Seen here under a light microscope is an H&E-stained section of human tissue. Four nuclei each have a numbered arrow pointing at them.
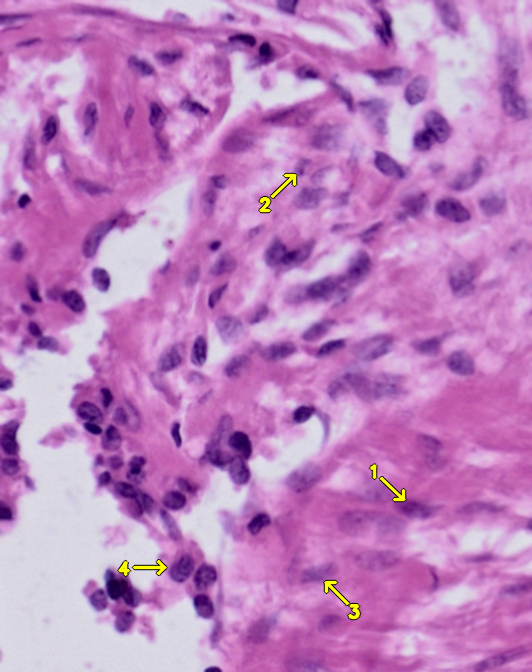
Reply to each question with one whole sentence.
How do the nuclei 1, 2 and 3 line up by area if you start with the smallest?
By area, going up from the smallest, they rank 2, 3, 1.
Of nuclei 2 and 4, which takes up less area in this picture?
It is nucleus 2; nucleus 4 has about 2.5 times its area.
